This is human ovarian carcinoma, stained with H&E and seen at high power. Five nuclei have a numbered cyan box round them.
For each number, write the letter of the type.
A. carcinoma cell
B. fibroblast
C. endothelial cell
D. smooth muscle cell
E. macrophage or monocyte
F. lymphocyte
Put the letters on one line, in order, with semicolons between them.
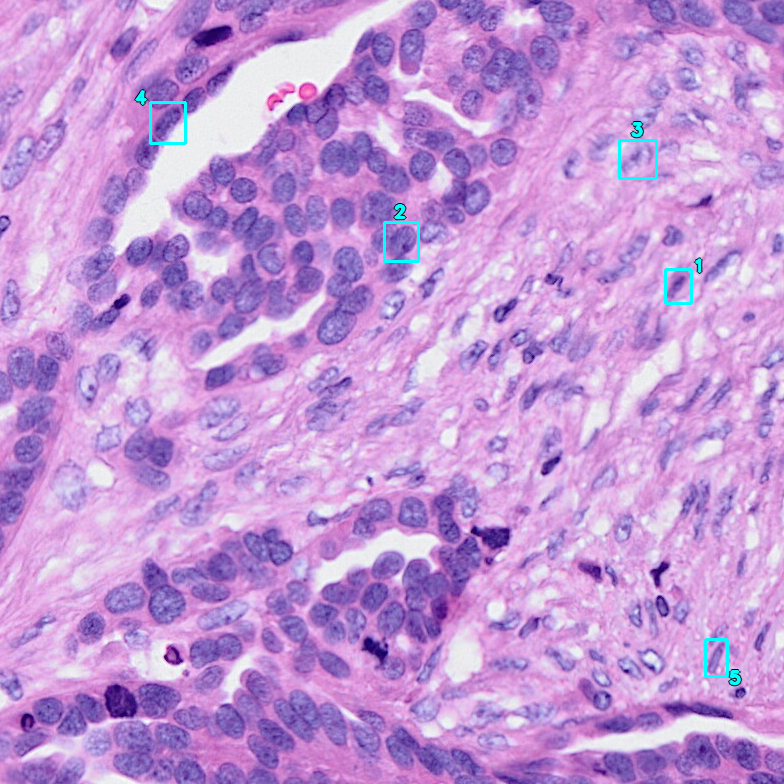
B; A; B; A; B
